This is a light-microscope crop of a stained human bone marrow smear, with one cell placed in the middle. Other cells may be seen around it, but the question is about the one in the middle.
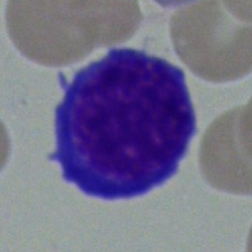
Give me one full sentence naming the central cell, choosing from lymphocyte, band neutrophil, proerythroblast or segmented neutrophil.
Classification of the middle cell gives a proerythroblast.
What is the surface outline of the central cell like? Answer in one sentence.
Rather than running smoothly, the cell border is ragged or carries projections.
